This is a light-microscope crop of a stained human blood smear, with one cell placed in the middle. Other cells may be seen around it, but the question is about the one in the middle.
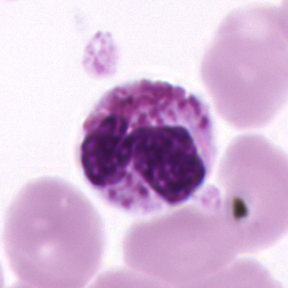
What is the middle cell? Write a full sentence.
The cell at the centre of the field is an eosinophil.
